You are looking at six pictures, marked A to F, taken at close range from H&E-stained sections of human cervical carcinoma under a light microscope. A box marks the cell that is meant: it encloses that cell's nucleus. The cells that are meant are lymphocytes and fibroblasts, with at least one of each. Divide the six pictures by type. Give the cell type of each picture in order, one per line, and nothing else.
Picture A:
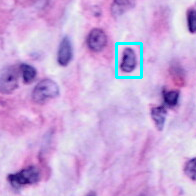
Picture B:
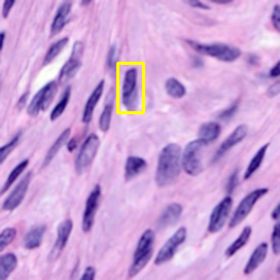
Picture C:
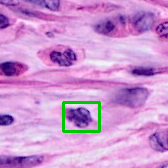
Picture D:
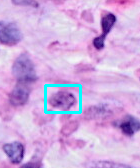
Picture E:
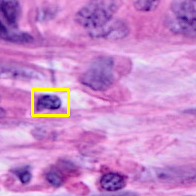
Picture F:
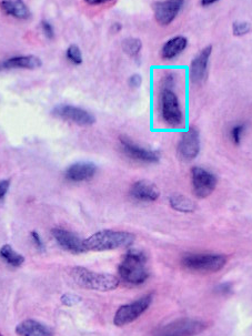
lymphocyte
fibroblast
lymphocyte
fibroblast
lymphocyte
fibroblast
